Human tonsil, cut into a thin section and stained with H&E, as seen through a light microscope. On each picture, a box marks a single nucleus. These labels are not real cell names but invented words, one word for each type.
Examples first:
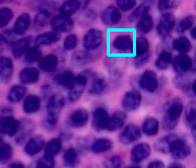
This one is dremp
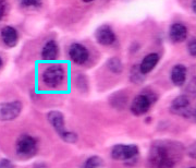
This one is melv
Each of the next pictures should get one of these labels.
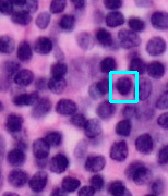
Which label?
dremp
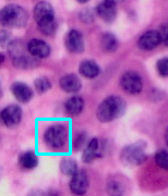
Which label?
melv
